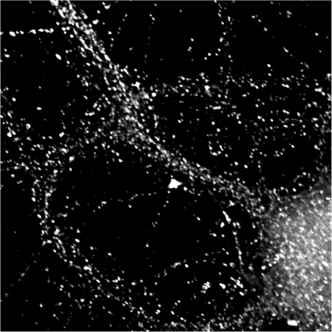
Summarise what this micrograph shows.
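This image shows a cultured neuron whose labelled material appears as fine bright dots. A large, diffusely bright cell body lies at the lower right edge of the field. From it, thin branching processes run up and to the left across the dark background. Along these processes the label is concentrated into many small, closely spaced puncta, giving them a beaded look. Between the processes the background is dark with only scattered isolated dots.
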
